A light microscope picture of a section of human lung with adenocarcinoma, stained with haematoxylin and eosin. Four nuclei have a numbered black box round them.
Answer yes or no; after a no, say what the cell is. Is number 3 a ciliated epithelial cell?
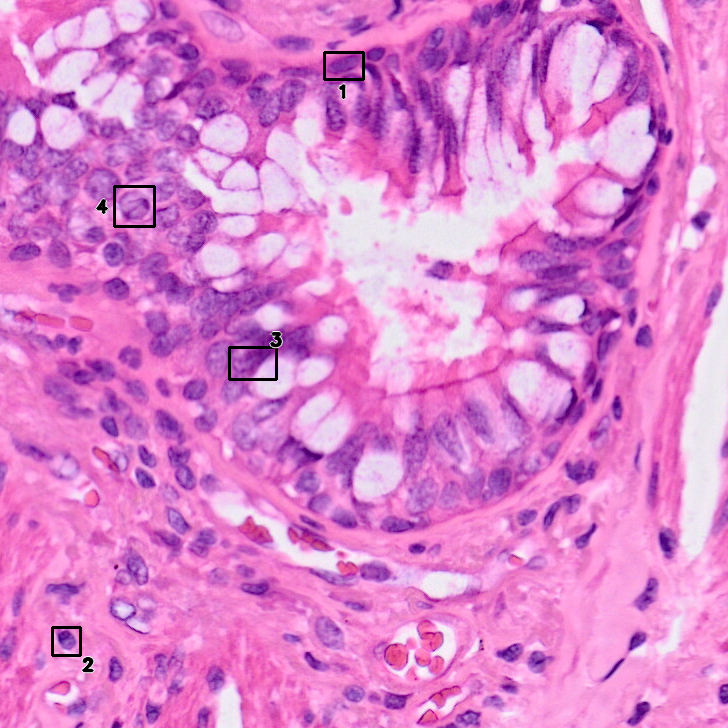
Yes.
